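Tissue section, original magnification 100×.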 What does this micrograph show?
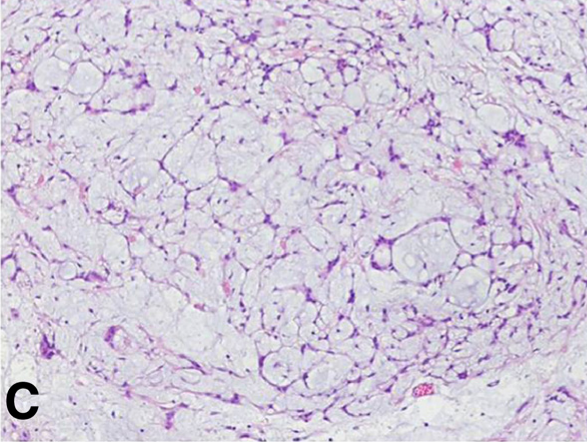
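Here the tissue has a lacy, net-like build, with numerous small clear rounded spaces of varying size. Thin strands of spindle cells with small dark nuclei run between these spaces and join one another, outlining them like a mesh. The background is pale and loose rather than densely pink, and a small vessel with red blood cells sits near the lower edge.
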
